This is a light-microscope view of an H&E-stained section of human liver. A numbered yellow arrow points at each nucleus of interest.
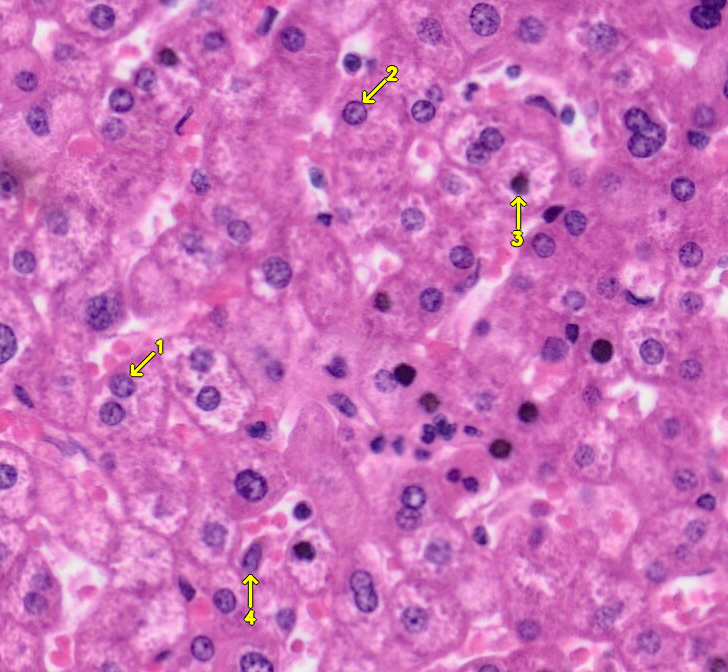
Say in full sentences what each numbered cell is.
Cell 1 is a hepatocyte, cell 2 is a hepatocyte, cell 3 is a hepatocyte and cell 4 is a Kupffer cell.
